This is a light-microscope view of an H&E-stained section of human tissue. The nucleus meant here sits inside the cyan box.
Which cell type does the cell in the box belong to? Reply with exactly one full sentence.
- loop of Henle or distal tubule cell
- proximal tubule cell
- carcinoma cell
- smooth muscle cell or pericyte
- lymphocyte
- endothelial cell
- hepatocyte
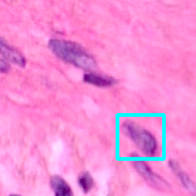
It is as a smooth muscle cell or pericyte that the cell in the box is recorded.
